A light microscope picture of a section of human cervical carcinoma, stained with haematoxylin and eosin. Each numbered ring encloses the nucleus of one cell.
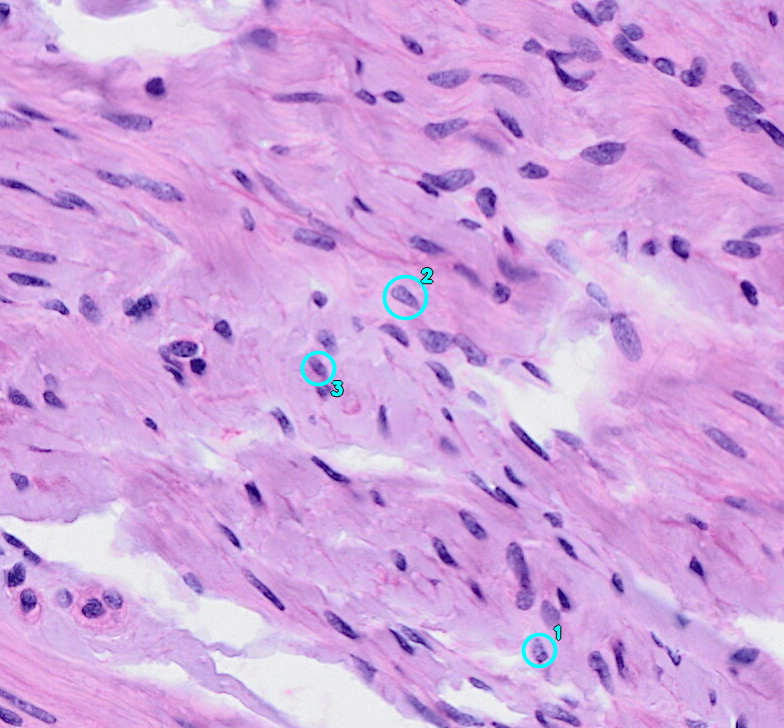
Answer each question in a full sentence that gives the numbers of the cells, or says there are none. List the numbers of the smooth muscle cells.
Of the numbered cells, only cell 3 is a smooth muscle cell.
